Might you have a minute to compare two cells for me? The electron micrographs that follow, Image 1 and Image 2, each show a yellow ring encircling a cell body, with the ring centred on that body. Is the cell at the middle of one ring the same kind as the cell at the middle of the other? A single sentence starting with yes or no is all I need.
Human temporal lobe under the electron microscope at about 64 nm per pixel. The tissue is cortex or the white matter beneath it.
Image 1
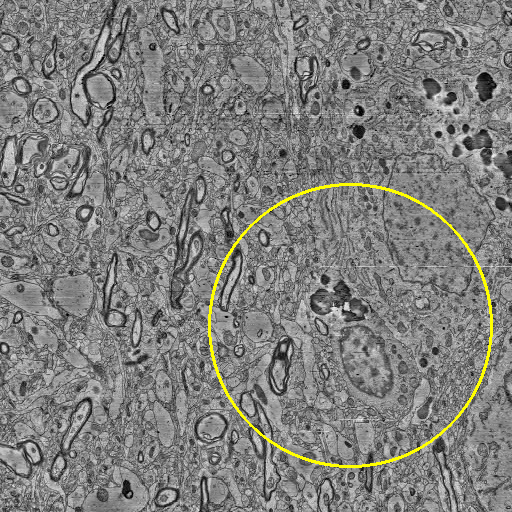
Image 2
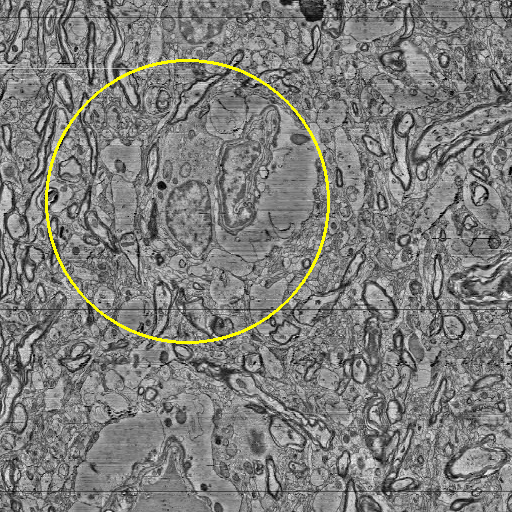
Yes, the cells in the middle of the two rings are of one shared kind.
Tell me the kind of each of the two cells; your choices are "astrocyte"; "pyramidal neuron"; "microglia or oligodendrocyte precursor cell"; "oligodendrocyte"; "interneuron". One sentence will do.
Each of the two rings surrounds an oligodendrocyte.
